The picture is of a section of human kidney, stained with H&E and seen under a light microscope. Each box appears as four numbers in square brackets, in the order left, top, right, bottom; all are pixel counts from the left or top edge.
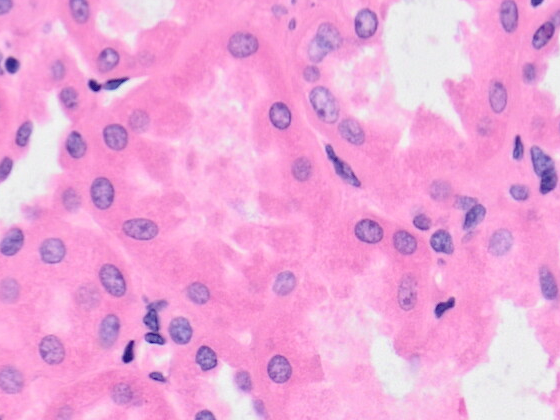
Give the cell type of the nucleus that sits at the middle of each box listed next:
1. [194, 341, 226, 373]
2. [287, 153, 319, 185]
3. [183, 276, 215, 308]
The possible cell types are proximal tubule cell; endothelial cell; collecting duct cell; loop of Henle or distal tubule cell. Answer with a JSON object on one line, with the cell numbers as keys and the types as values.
{"1": "loop of Henle or distal tubule cell", "2": "proximal tubule cell", "3": "proximal tubule cell"}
